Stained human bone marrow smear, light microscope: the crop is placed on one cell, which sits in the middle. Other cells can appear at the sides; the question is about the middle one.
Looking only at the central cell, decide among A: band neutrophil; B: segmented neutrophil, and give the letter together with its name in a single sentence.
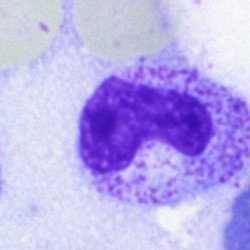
That middle cell is a band neutrophil, and option A is therefore correct.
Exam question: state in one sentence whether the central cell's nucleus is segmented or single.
Just one compact nuclear mass here, round, oval or kidney-shaped.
